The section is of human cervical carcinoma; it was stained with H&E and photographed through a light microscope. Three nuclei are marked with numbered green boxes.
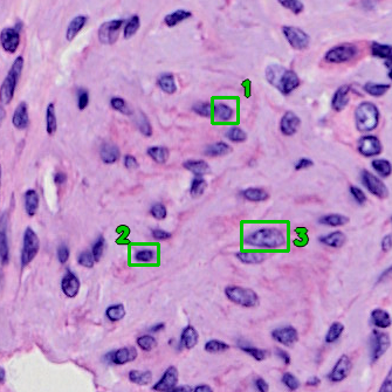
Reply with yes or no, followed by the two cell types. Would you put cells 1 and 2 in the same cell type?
No; cell 1 is a smooth muscle cell, whereas cell 2 is a fibroblast.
